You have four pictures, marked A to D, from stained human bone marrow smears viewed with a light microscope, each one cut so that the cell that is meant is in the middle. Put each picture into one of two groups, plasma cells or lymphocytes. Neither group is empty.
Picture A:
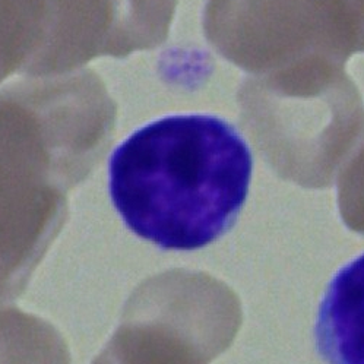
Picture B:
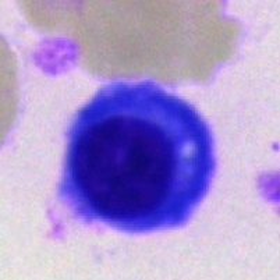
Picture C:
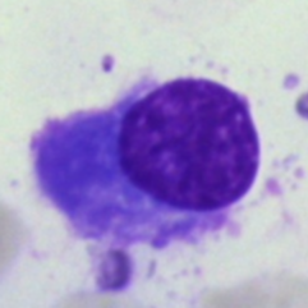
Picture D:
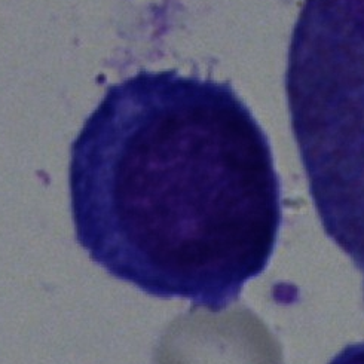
A: lymphocyte
B: plasma cell
C: plasma cell
D: plasma cell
